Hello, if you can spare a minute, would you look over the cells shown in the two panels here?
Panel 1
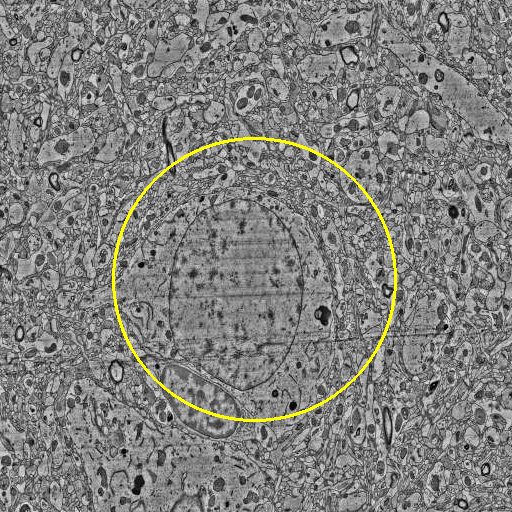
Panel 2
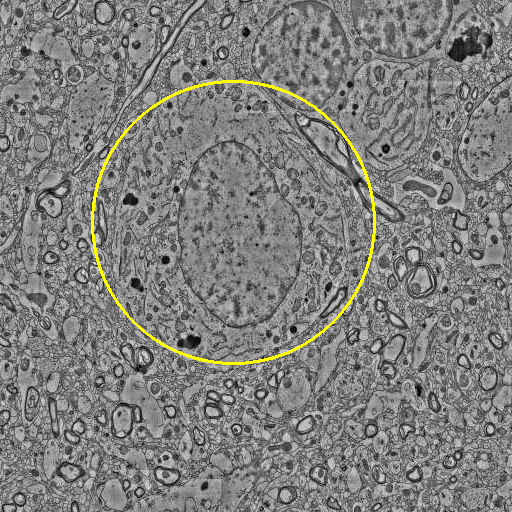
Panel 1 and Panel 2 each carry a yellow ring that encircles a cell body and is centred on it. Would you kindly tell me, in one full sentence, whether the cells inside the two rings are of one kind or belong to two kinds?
The cells at the centres of the rings in Panel 1 and Panel 2 belong to two kinds.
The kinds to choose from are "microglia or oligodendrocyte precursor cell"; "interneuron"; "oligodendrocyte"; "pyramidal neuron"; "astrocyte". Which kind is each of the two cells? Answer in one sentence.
Of the two, the first cell is a pyramidal neuron and the second cell is an interneuron.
